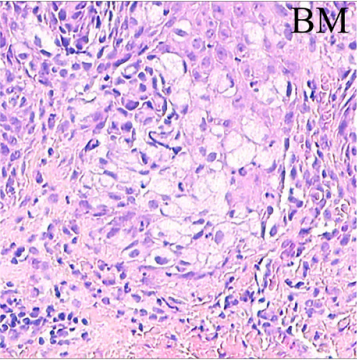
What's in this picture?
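A rounded nest of large epithelial cells with pale, clear, foamy cytoplasm and purple nuclei lies at the centre of the field. Around it, especially on the left and along the bottom, is pink fibrous connective tissue with elongated spindle-shaped nuclei and small dark cells.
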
